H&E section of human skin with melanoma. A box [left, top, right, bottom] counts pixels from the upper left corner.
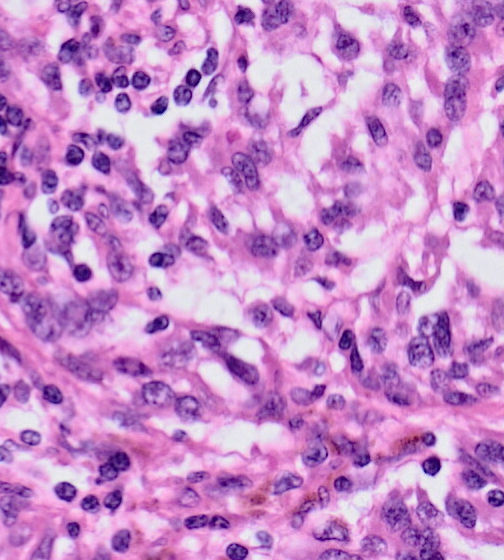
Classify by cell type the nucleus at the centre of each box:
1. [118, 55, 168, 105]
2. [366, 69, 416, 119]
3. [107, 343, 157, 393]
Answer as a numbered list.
1. lymphocyte
2. melanoma cell
3. melanoma cell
